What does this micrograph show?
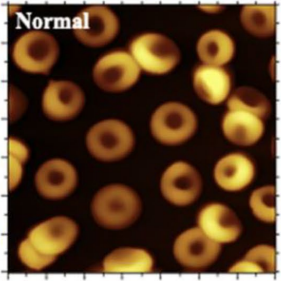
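This topographical image shows many erythrocytes lying scattered and partly overlapping on a flat surface. Each cell is a round disc without a nucleus, with a bright raised rim and a darker central depression, giving the typical biconcave outline. The cells are fairly uniform in size and shape, and a few lie tilted or stacked so that one side appears brighter and higher.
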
